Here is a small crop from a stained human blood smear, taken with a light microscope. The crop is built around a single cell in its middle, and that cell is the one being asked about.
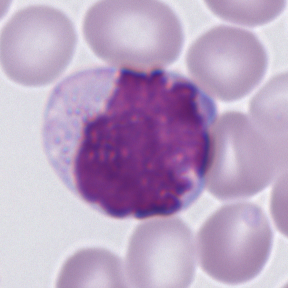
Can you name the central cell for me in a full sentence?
By type, the central cell of the crop is a large granular lymphocyte.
